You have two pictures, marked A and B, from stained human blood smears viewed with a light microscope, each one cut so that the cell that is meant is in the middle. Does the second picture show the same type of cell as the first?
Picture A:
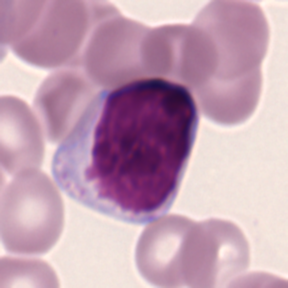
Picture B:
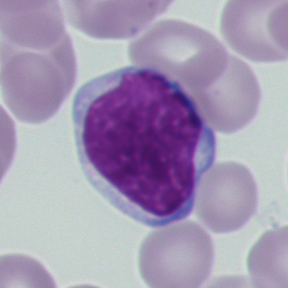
yes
